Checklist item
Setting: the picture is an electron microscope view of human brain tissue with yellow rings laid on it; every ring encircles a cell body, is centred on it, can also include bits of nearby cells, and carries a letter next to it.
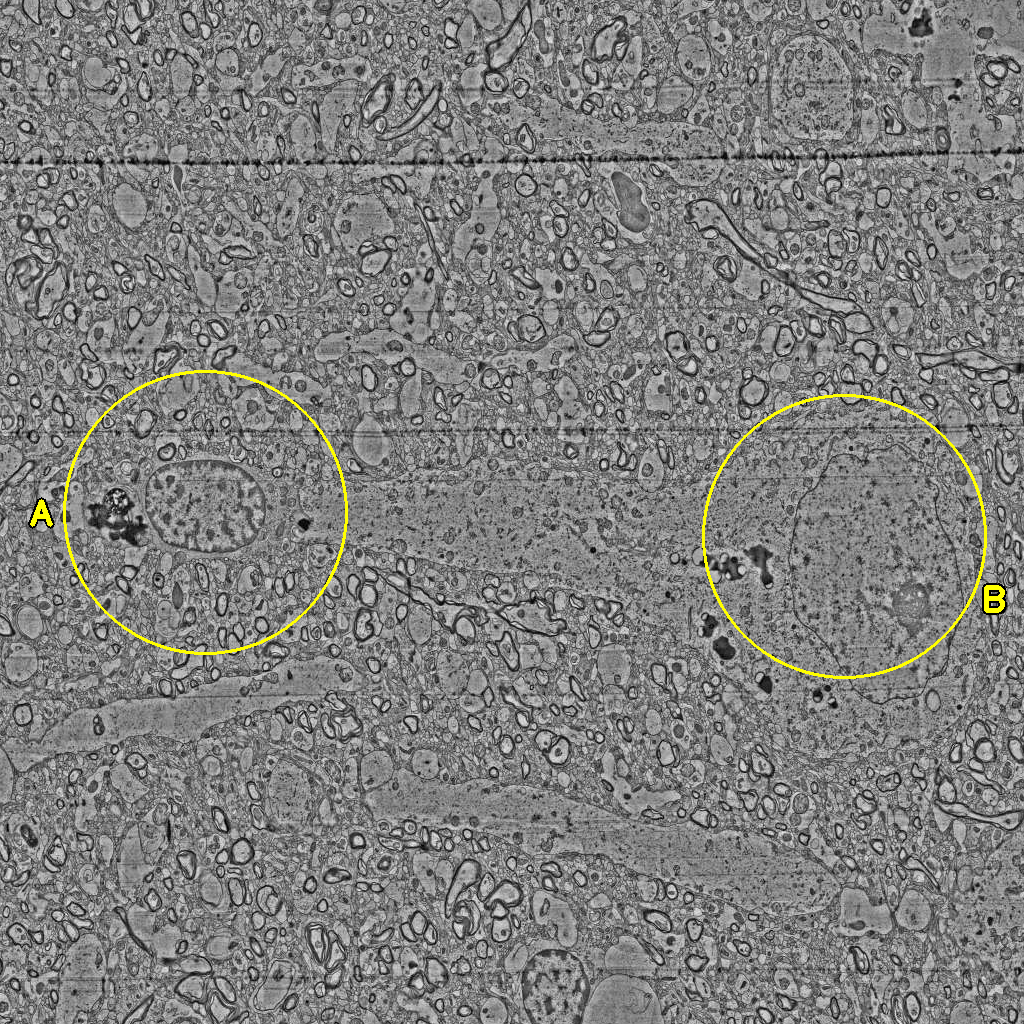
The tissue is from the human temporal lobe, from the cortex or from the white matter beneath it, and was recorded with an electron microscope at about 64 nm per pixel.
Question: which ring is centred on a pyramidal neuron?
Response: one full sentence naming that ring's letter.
My response is that ring B has the sought cell at its centre.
